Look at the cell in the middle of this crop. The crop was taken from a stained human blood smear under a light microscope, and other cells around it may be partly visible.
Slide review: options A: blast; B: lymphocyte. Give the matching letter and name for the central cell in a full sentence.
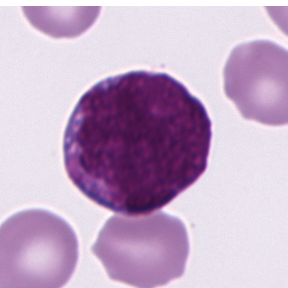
The cell shown centrally is a blast; option A is the correct option.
